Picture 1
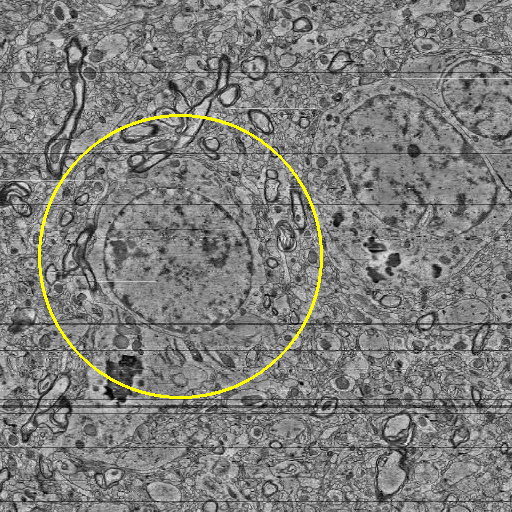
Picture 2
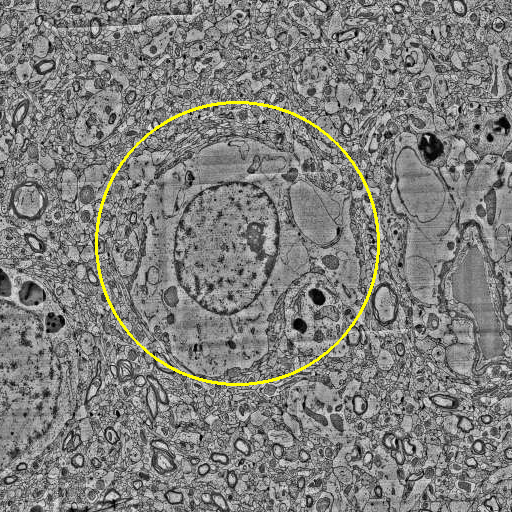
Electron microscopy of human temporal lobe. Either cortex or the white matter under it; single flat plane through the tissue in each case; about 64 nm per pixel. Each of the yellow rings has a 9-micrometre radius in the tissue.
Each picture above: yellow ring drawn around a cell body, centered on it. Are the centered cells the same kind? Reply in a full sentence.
Yes, the two cells are the same kind.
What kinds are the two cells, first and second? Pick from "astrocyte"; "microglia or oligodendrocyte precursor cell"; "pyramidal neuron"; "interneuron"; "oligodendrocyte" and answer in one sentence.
In the first picture and in the second, the ring is centred on an astrocyte.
